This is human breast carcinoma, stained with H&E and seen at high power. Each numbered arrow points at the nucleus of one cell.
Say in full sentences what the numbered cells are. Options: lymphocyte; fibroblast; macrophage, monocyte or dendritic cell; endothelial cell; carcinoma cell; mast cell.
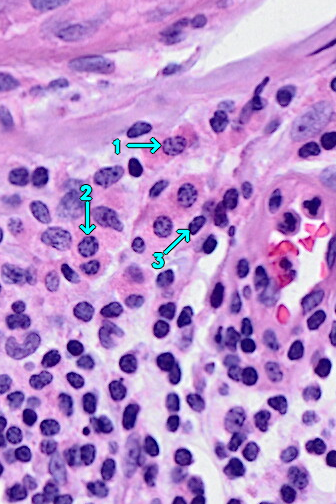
Cells 1 and 2 are mast cells. Cell 3 is a lymphocyte.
